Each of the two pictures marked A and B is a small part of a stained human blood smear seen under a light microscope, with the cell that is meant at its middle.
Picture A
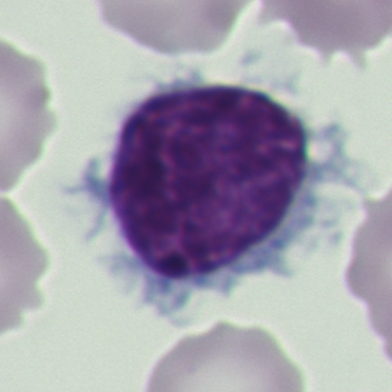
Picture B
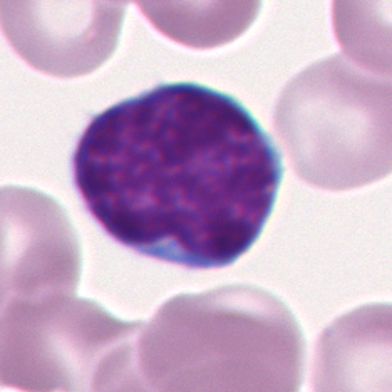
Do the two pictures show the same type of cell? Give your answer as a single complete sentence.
No, the types are not the same, since picture A shows a hairy cell and picture B a typical lymphocyte.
